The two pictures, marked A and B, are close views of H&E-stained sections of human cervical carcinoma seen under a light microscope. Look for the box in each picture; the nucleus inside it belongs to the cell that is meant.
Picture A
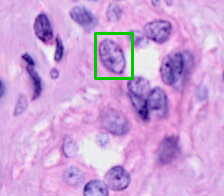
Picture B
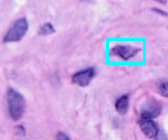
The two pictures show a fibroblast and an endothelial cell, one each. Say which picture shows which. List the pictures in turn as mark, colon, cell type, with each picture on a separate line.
A: endothelial cell
B: fibroblast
